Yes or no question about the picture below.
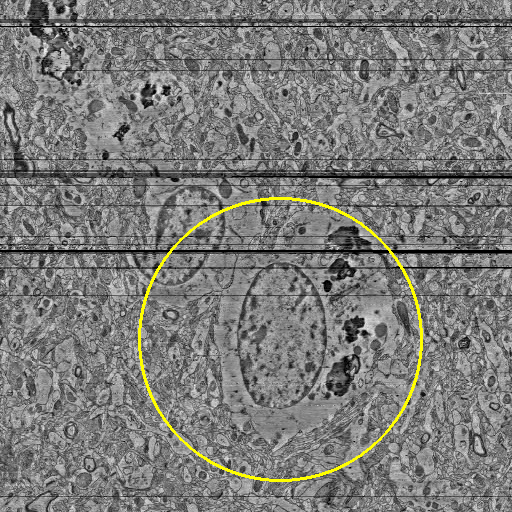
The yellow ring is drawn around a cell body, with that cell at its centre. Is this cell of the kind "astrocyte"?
yes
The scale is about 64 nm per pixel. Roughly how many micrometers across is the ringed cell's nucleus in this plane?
In this plane the nucleus is roughly 10 by 6 micrometres, clearly longer than it is wide.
